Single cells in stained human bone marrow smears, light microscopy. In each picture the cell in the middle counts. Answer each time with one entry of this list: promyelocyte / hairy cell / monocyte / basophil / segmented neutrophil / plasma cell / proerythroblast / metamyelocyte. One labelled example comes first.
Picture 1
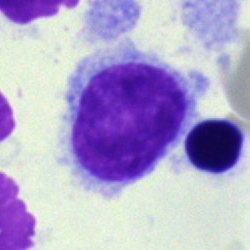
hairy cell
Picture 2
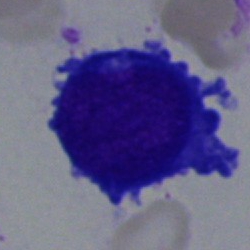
proerythroblast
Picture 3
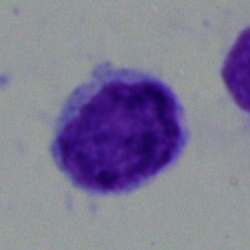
hairy cell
